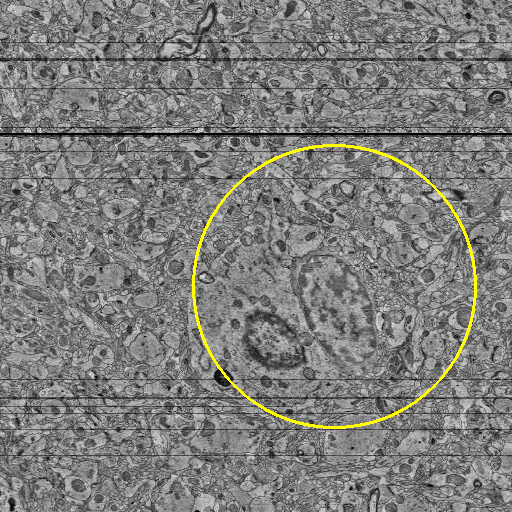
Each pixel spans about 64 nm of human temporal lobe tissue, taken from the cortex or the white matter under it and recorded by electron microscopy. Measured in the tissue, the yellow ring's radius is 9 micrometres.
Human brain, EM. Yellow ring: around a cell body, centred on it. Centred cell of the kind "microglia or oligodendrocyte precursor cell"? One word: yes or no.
no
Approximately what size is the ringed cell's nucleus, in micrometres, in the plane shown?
About 7 by 4 micrometers, in this plane.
